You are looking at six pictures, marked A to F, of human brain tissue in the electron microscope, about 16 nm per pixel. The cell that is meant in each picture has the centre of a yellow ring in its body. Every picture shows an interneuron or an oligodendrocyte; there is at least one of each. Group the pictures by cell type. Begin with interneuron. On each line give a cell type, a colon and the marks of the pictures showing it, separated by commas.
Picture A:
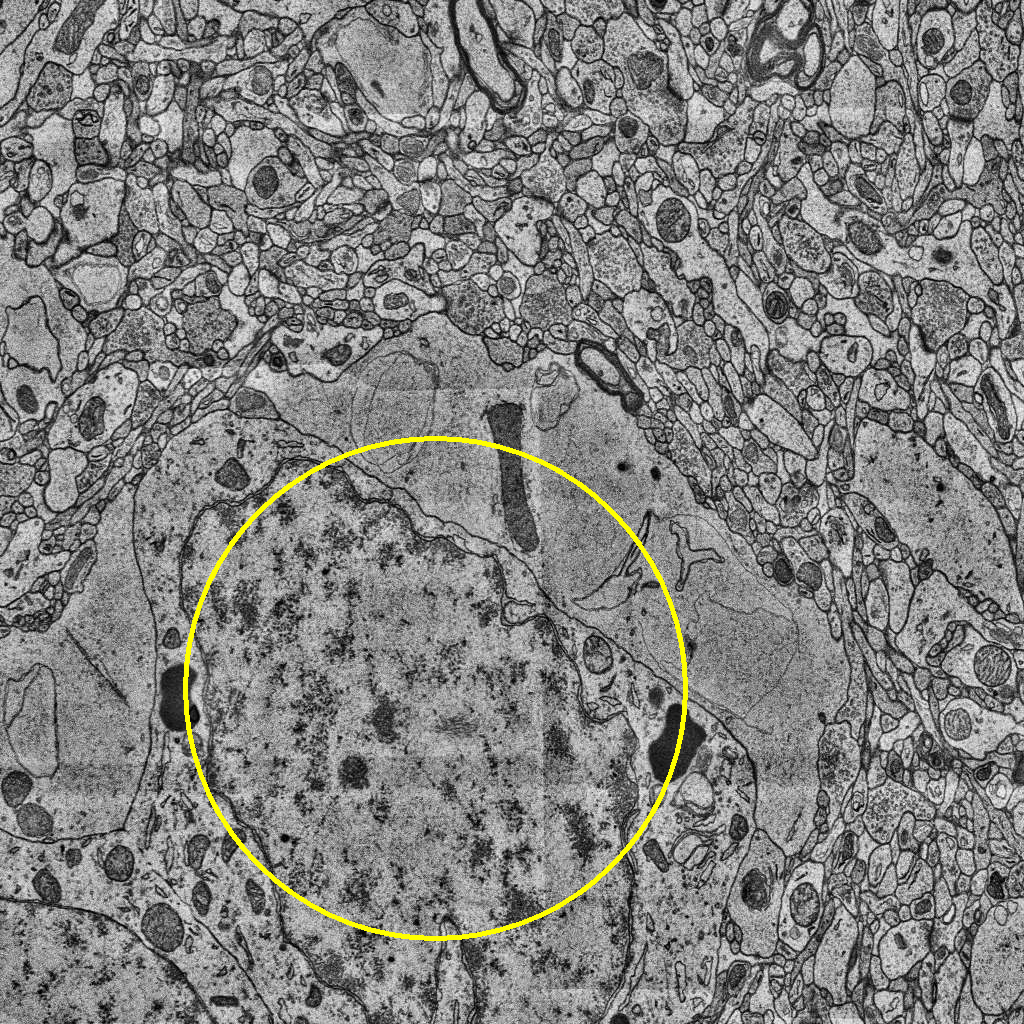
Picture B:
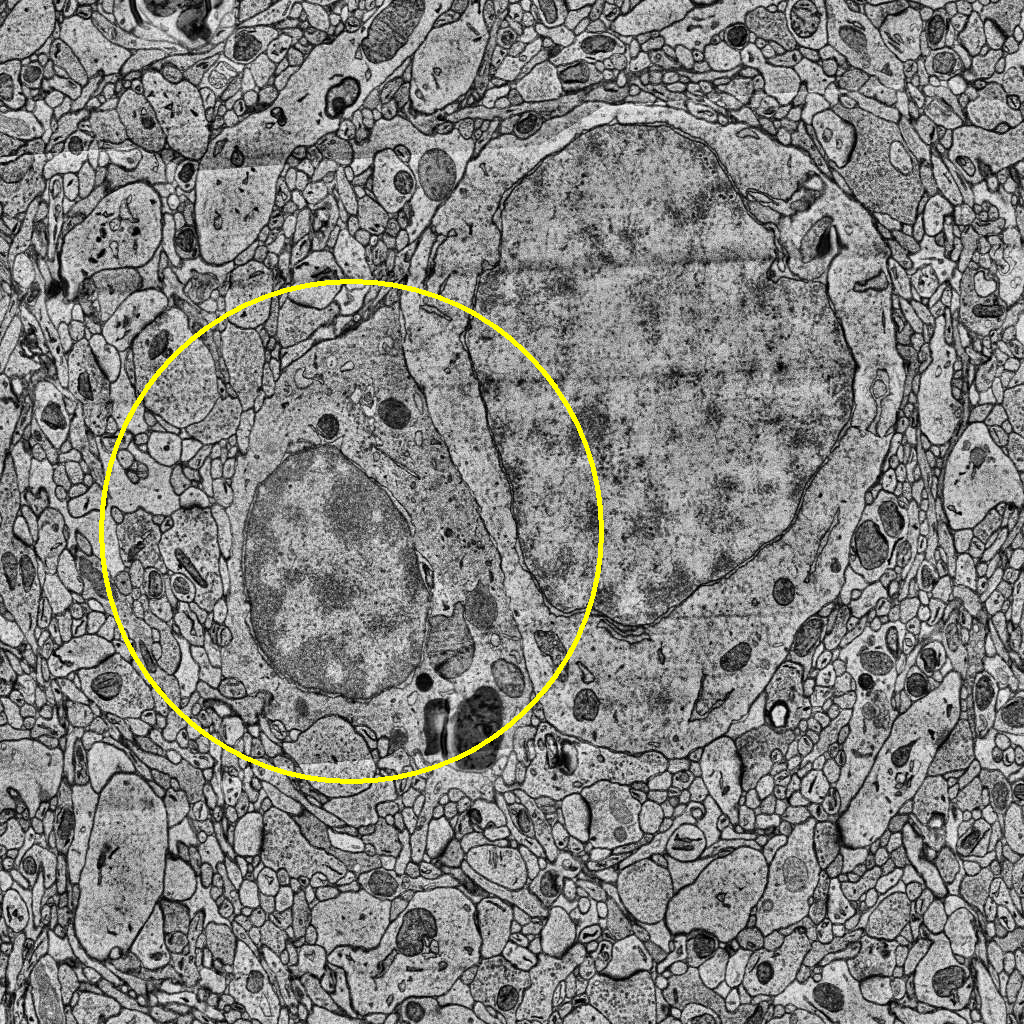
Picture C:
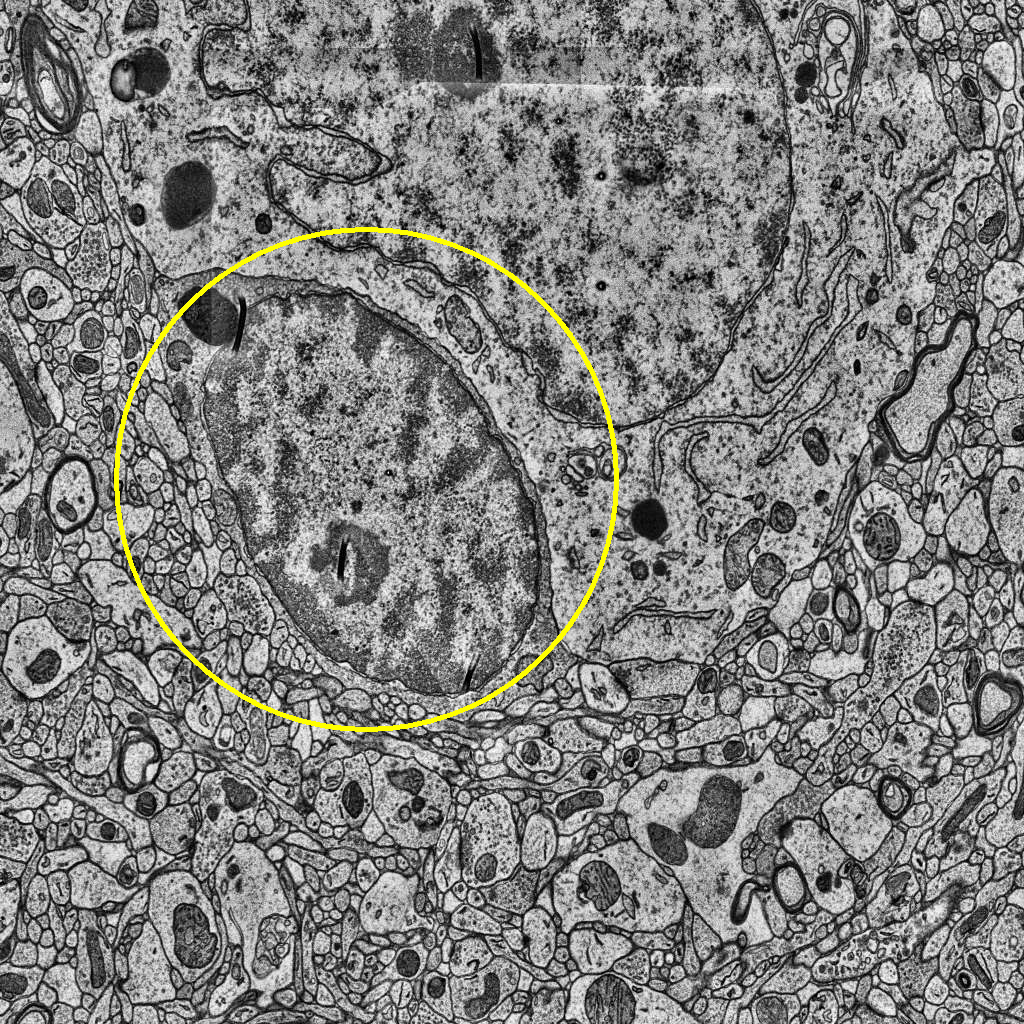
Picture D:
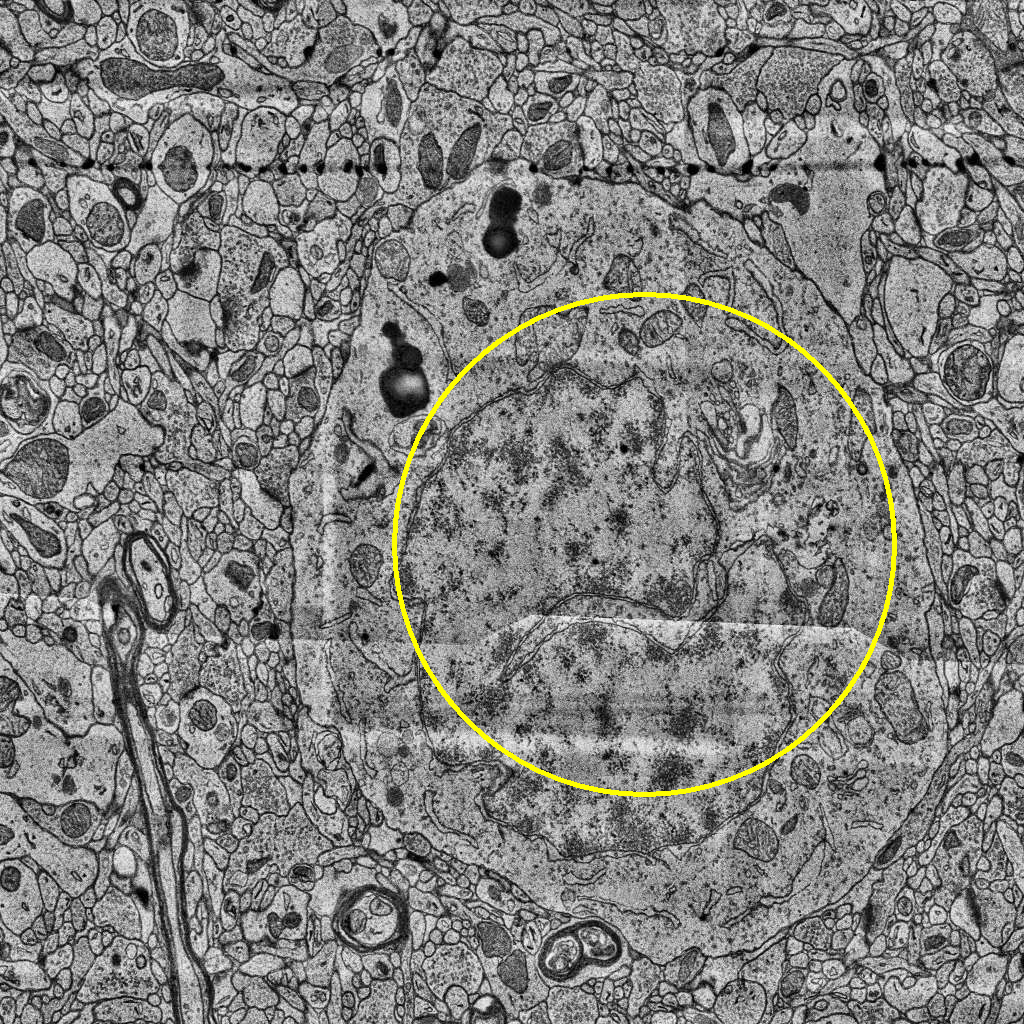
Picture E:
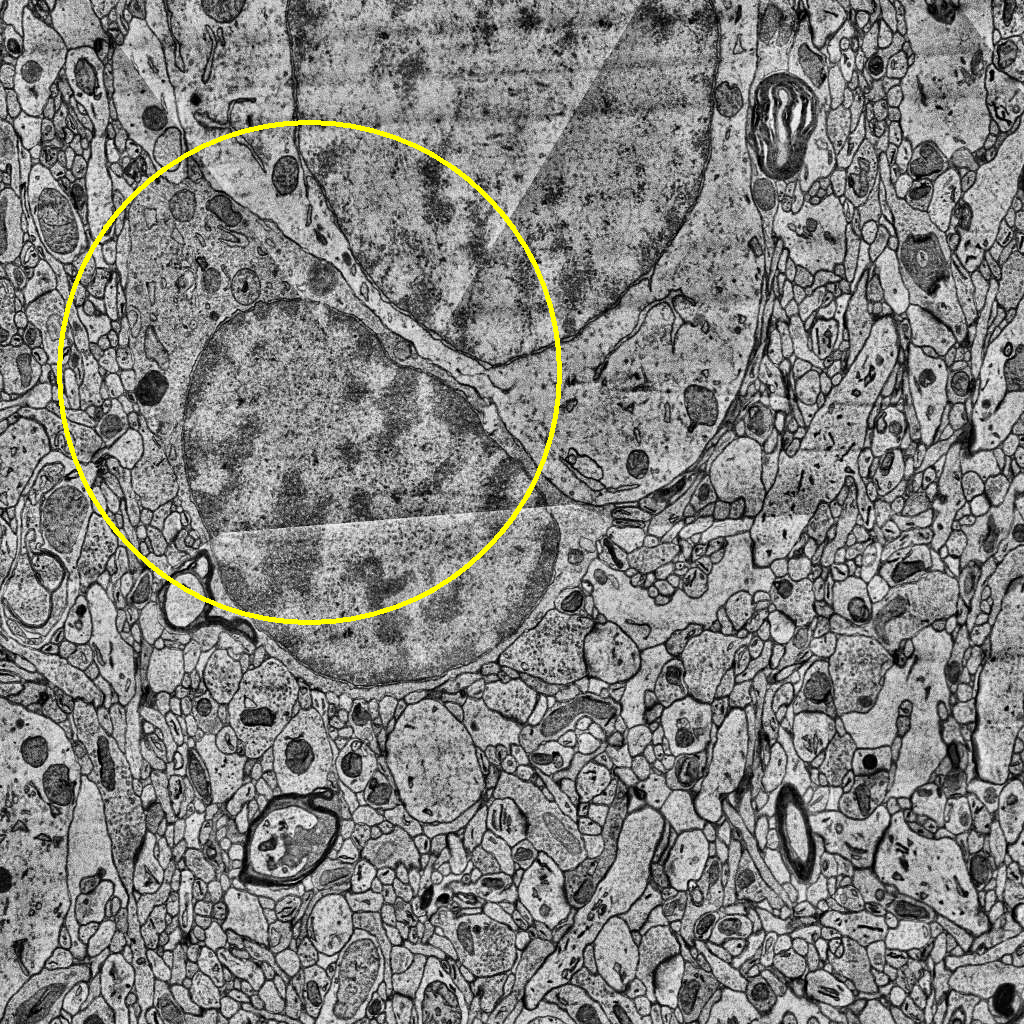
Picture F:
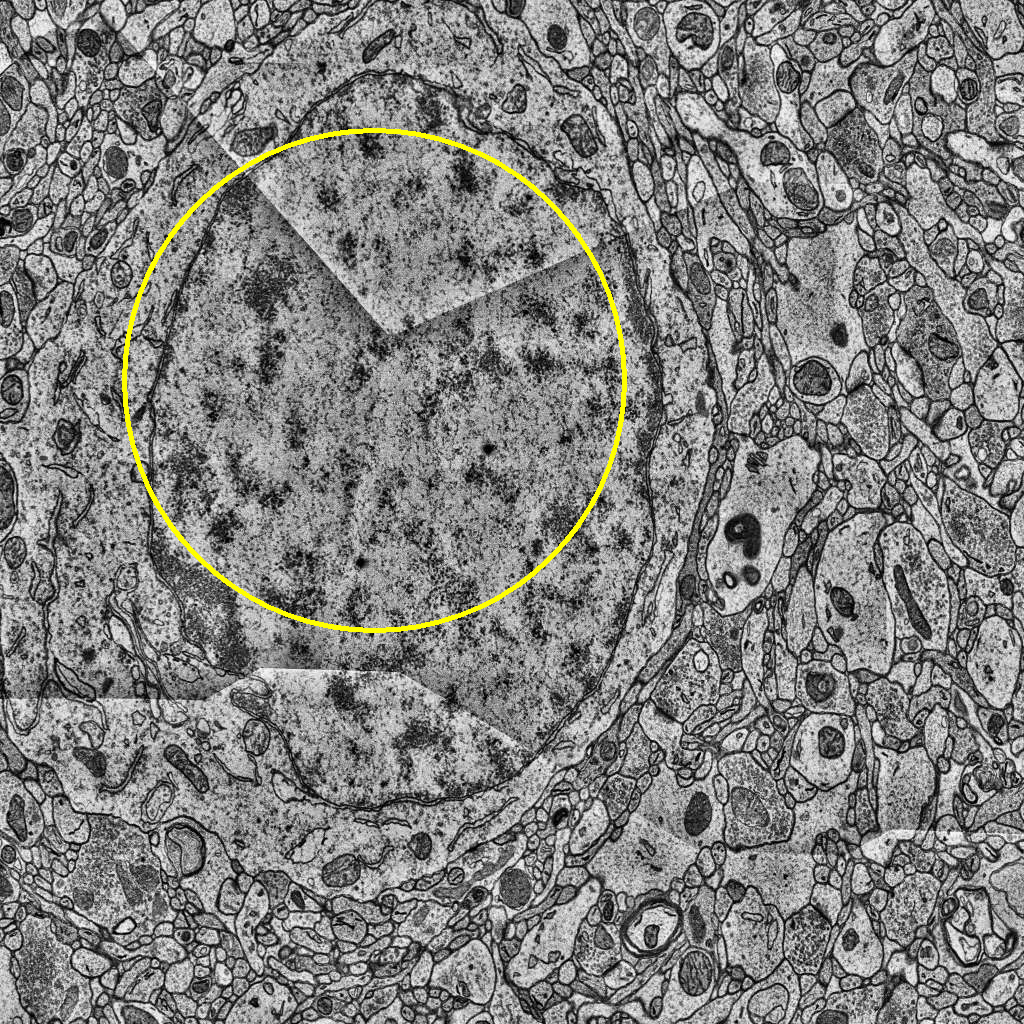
interneuron: A, D, F
oligodendrocyte: B, C, E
